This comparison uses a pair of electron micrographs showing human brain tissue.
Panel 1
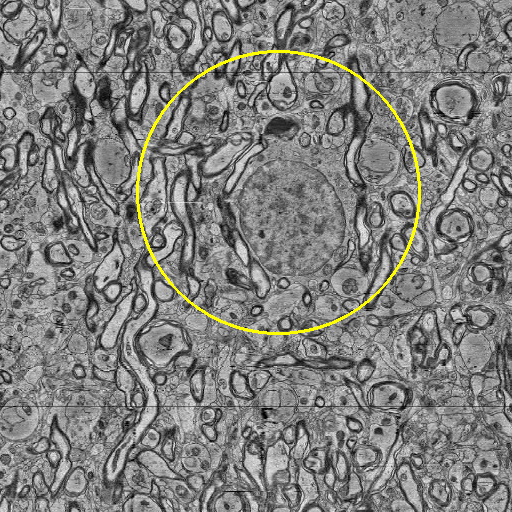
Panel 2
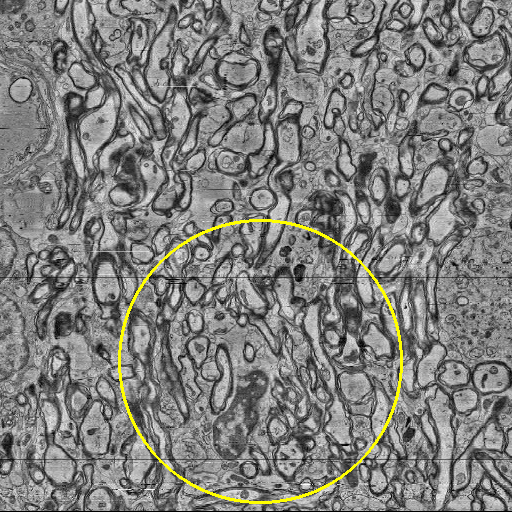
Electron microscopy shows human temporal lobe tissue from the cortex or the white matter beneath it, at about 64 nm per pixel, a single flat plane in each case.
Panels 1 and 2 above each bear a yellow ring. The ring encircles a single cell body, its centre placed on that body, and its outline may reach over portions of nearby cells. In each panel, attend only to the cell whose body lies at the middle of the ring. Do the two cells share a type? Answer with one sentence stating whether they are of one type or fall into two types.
In Panel 1 and Panel 2, the cells at the centres of the rings fall into two types.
